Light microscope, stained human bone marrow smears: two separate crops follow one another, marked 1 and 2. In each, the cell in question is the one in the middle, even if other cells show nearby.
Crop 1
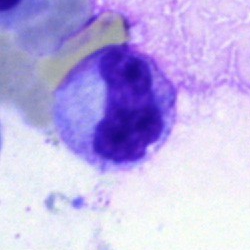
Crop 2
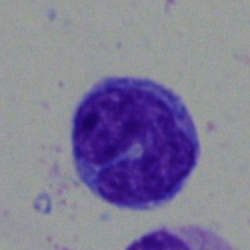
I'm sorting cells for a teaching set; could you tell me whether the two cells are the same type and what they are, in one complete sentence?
No, crop 1 captures a metamyelocyte, and crop 2 captures a monocyte.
